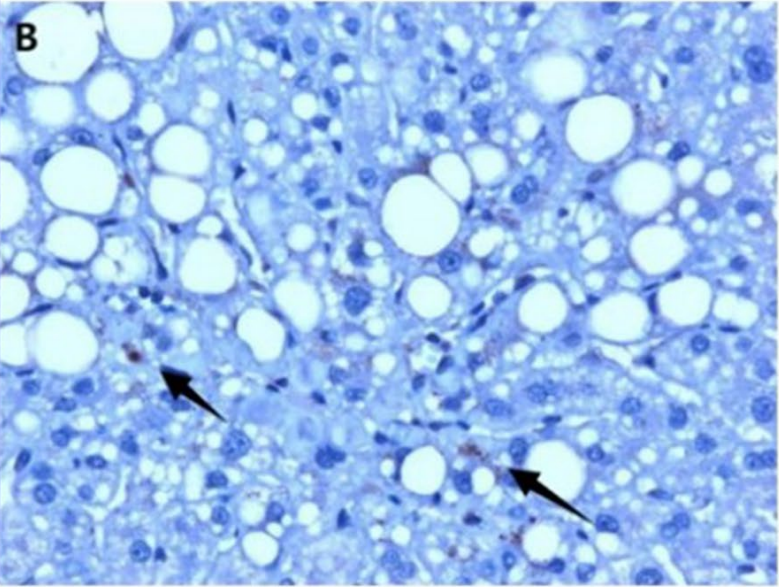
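Some hepatocytes hold a single large round vacuole, while others contain many small vacuoles around a central round nucleus. Elongated darker nuclei of sinusoidal lining cells are seen between the hepatocyte plates.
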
